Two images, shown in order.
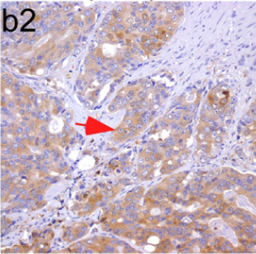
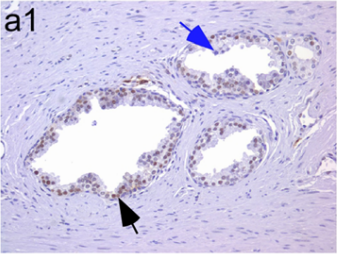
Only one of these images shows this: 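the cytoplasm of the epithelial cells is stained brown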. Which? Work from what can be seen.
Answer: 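First image: tumour cells show diffuse brown cytoplasm throughout. Second image: brown is confined to nuclei, cytoplasm stays pale. The answer: the first image.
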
